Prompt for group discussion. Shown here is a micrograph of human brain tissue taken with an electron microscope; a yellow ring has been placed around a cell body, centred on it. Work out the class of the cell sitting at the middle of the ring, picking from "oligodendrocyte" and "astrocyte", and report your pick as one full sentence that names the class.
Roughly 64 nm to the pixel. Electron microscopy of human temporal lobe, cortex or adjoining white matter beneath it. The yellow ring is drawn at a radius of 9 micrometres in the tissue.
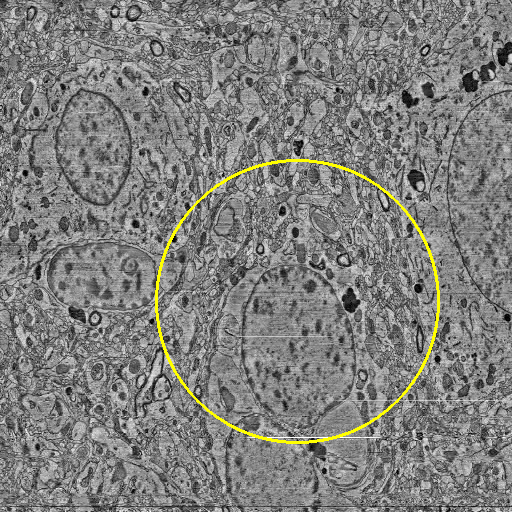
The cell sitting at the middle of the yellow ring is an astrocyte.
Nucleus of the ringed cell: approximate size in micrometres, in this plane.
The nucleus measures about 11 by 8 micrometres in this plane.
